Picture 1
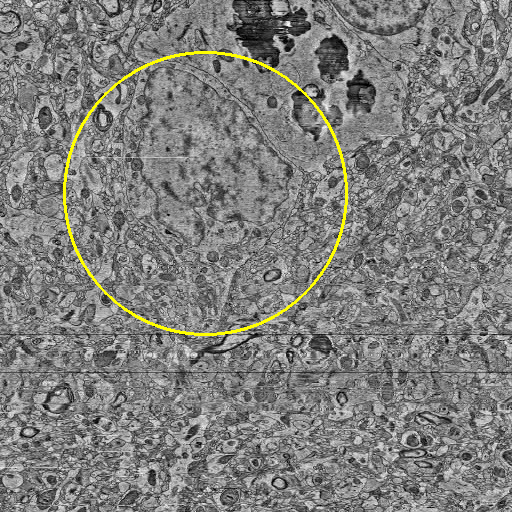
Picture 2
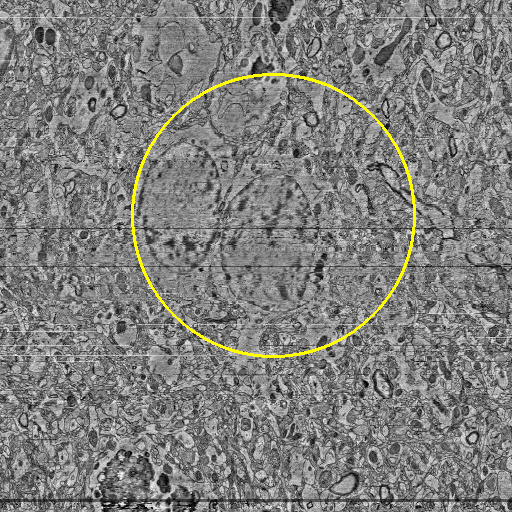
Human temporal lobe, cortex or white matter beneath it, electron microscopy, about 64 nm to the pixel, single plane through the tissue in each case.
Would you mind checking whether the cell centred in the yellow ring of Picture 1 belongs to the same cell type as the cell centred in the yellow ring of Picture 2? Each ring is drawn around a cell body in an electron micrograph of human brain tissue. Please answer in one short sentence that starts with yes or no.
No, the two cells are of two types.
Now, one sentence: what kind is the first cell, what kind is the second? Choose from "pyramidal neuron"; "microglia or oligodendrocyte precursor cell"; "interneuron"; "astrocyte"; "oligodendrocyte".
The first picture has an interneuron at its ring centre, and the second has an astrocyte.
